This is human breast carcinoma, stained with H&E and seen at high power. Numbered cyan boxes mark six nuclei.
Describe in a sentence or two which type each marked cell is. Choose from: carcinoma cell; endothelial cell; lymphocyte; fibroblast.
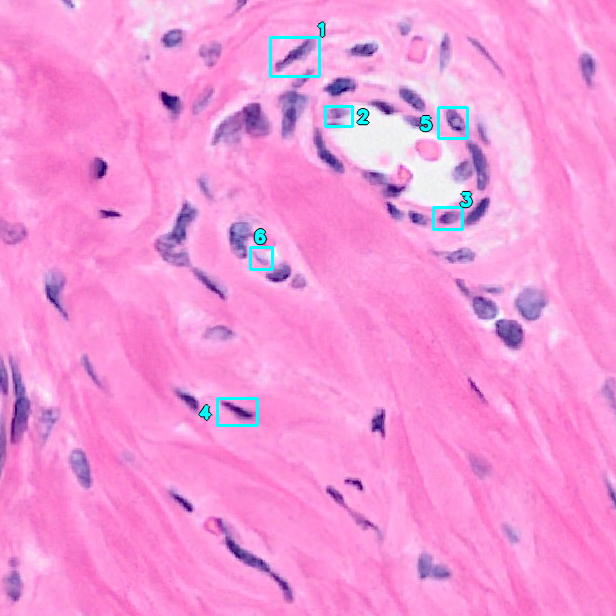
Cells 1 and 4 are fibroblasts. Cells 2, 3, 5 and 6 are endothelial cells.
